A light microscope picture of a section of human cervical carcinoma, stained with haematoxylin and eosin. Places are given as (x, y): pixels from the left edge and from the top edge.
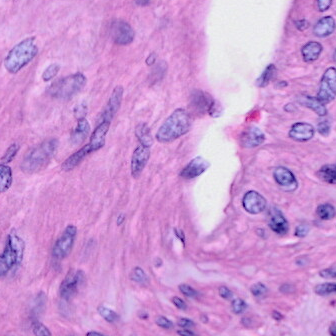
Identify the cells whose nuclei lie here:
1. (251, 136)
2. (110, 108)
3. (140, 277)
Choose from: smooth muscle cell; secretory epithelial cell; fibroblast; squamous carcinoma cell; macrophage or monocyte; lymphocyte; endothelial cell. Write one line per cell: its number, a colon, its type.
1: endothelial cell
2: smooth muscle cell
3: smooth muscle cell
